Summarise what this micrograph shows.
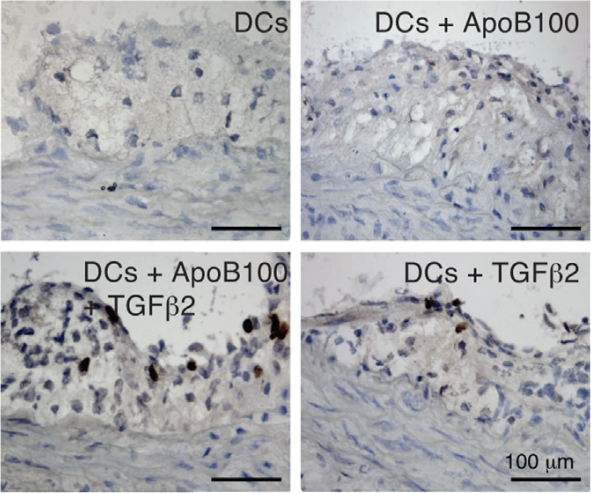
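These four sections show atherosclerotic plaques, each a raised mound of tissue bulging from the vessel wall into the lumen. Inside the plaques the tissue is pale and foamy with many clear vacuoles and scattered blue nuclei, while below them lie layers of elongated, spindle-shaped nuclei in the wall. In some sections a few small, round nuclei stand out, stained dark brown, most plainly in the lower left image.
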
